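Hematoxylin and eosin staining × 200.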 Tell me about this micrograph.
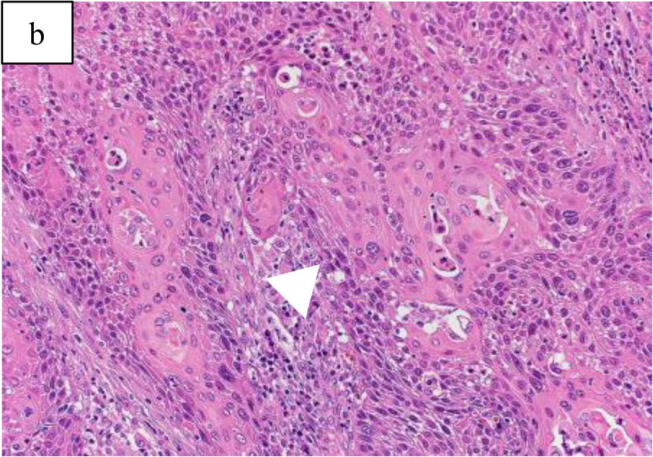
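This field shows squamous cell carcinoma growing as irregular nests of large polygonal tumour cells separated by strands of stroma. The cells have abundant pink, glassy cytoplasm and enlarged, irregular nuclei with visible nucleoli. Within several nests the cells form concentric pink whorls of keratin, the so-called keratin pearls. Spindle-shaped stromal cells and scattered inflammatory cells lie between the nests.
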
